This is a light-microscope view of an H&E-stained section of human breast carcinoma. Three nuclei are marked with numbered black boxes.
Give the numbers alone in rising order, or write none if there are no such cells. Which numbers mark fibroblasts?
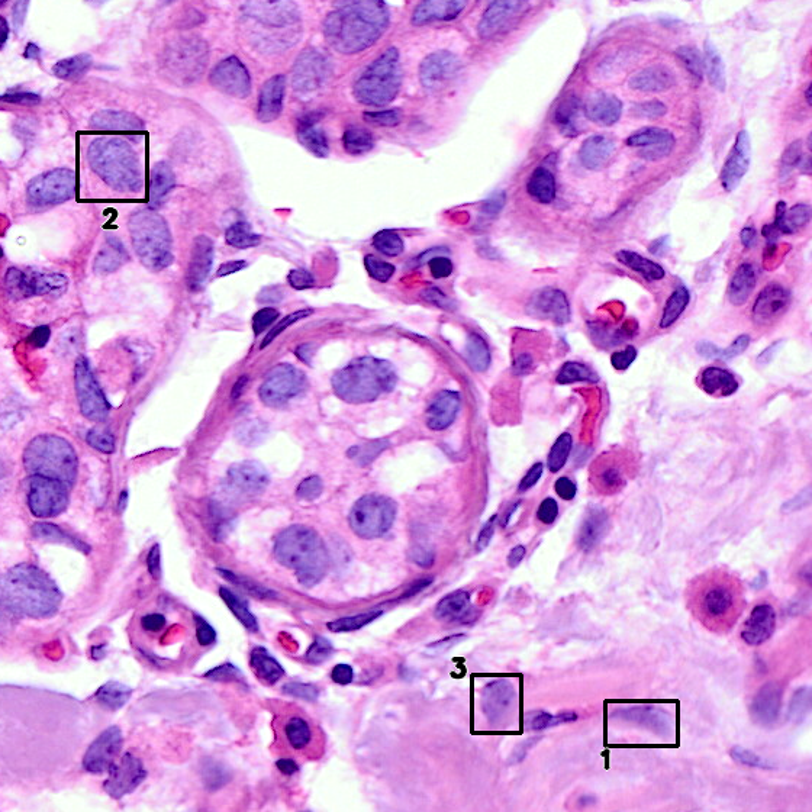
1, 3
